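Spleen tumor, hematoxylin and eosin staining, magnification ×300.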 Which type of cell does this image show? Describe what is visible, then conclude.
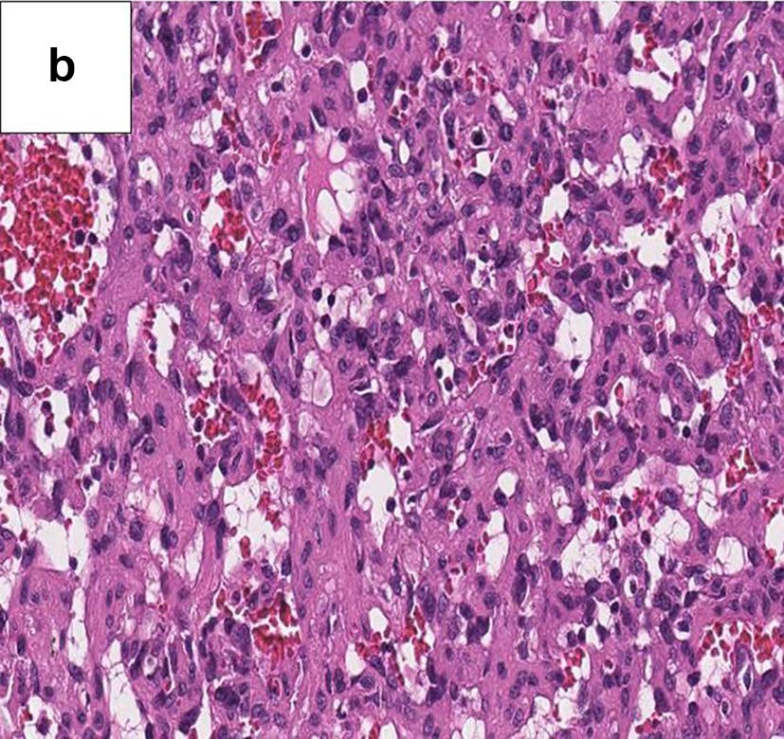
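Round epithelioid cells. Rounded to polygonal cells with pink cytoplasm. Large dark-staining nuclei, some with visible nucleoli. Cells in sheets between small spaces filled with red blood cells.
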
